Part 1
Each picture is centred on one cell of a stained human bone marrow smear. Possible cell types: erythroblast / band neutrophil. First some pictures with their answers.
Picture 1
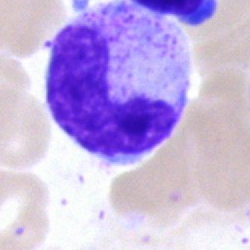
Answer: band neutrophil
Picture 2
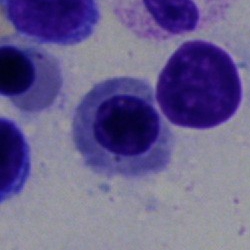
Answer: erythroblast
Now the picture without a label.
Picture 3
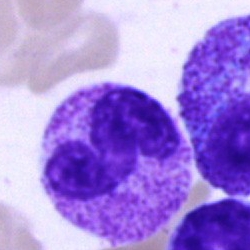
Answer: band neutrophil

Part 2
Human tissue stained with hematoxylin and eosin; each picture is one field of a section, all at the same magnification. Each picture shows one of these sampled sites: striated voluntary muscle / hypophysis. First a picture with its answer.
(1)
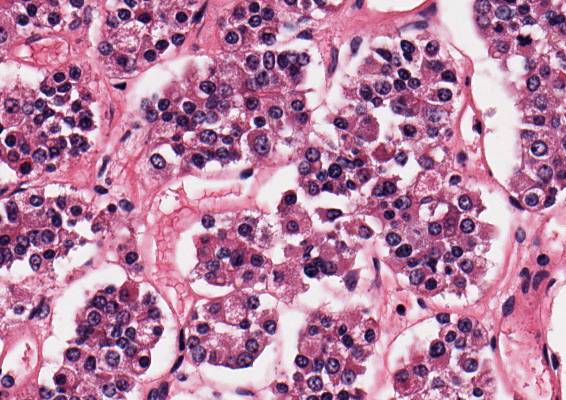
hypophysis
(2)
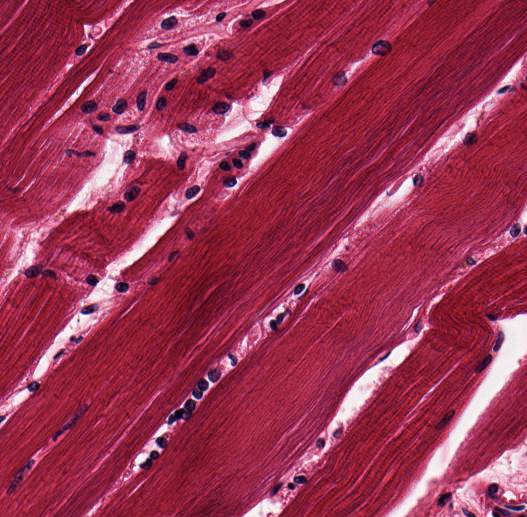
striated voluntary muscle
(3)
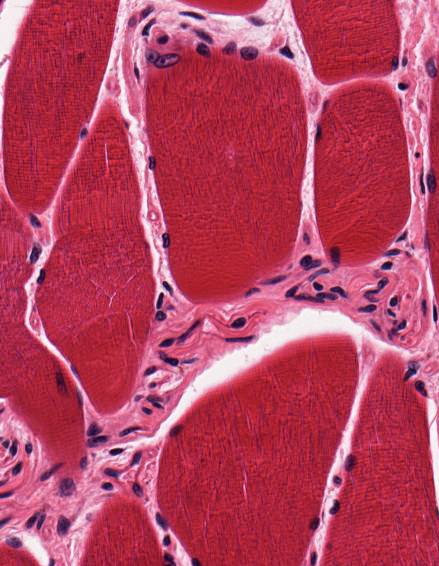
striated voluntary muscle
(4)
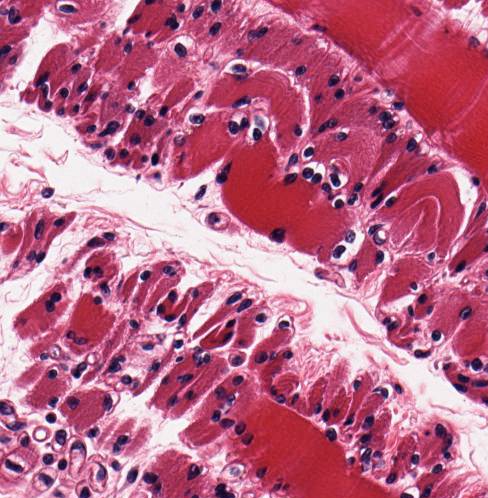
striated voluntary muscle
